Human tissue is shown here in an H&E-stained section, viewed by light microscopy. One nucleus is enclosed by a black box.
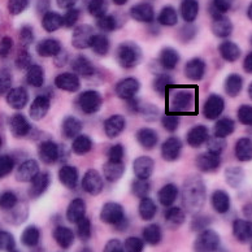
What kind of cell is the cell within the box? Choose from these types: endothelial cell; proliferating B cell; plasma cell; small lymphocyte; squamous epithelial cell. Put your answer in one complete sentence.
The category to which the cell within the box belongs is that of a small lymphocyte.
